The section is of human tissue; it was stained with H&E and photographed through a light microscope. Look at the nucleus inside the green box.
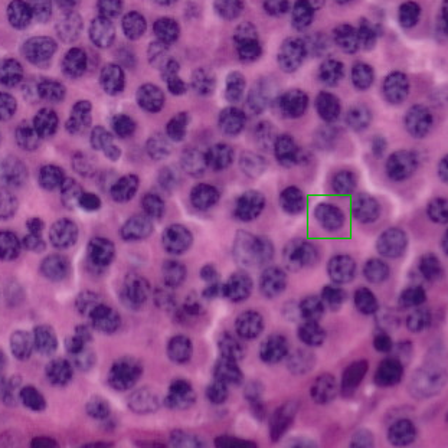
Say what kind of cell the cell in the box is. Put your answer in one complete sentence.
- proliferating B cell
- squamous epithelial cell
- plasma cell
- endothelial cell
Microscopically, the cell in the box is categorized as a plasma cell.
